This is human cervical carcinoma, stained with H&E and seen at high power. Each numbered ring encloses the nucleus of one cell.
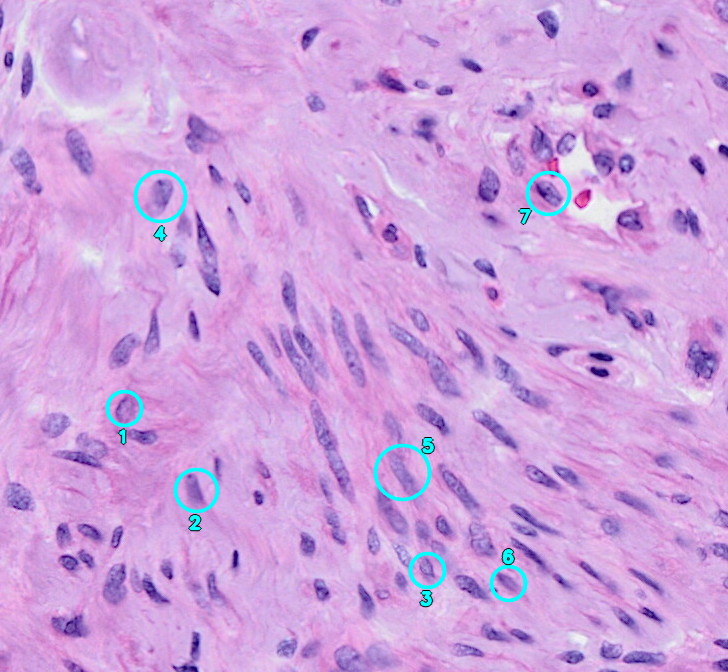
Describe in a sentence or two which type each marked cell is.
Cells 1, 3, 5 and 6 are smooth muscle cells. Cells 2 and 4 are fibroblasts. Cell 7 is an endothelial cell.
